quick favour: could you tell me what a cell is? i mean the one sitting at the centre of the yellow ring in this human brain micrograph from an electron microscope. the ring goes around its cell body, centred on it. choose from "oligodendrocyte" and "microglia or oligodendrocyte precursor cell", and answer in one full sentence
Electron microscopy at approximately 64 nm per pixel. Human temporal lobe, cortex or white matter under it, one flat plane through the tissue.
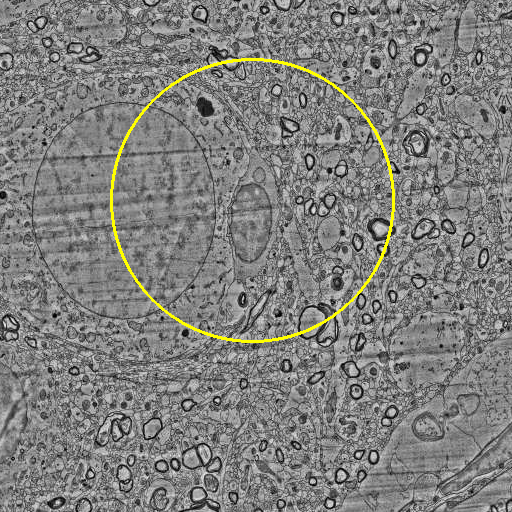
That's an oligodendrocyte, the cell sitting at the centre of the yellow ring.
